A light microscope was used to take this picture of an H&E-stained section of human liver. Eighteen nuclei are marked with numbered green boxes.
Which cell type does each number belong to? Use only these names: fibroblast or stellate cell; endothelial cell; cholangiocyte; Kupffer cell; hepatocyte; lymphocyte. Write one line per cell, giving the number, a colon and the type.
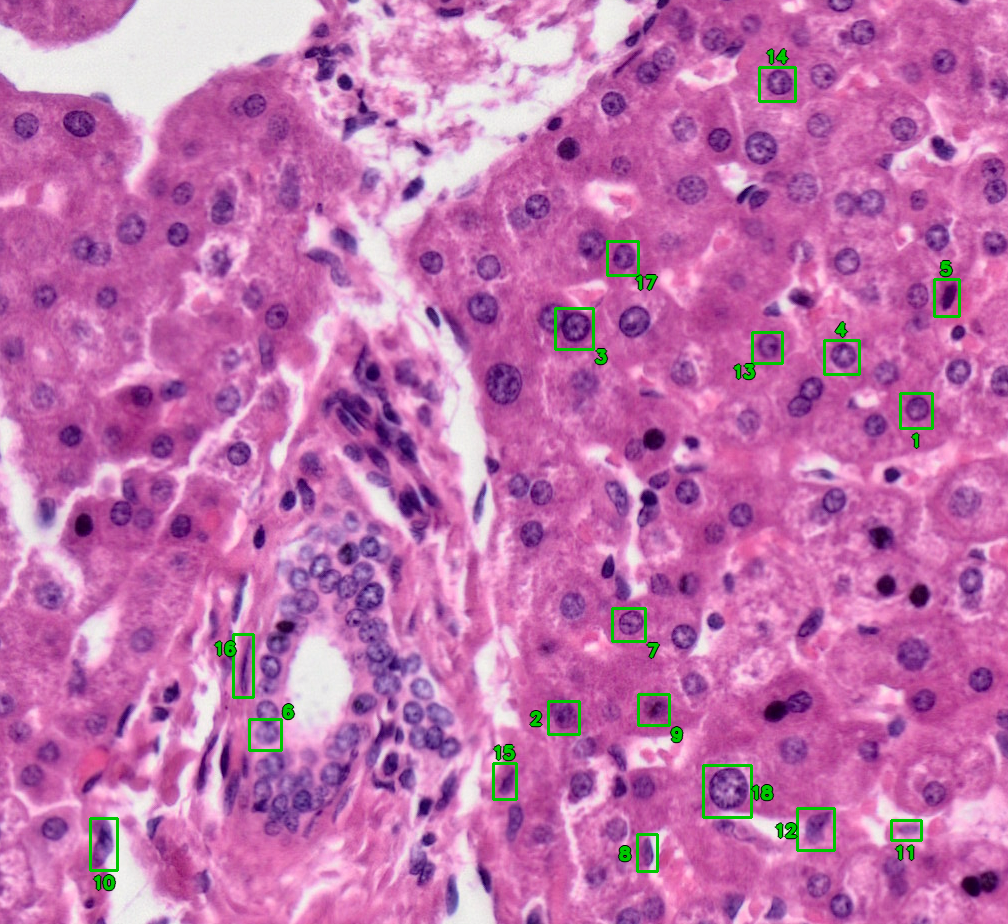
1: hepatocyte
2: hepatocyte
3: hepatocyte
4: hepatocyte
5: fibroblast or stellate cell
6: cholangiocyte
7: hepatocyte
8: endothelial cell
9: hepatocyte
10: fibroblast or stellate cell
11: Kupffer cell
12: endothelial cell
13: hepatocyte
14: hepatocyte
15: fibroblast or stellate cell
16: fibroblast or stellate cell
17: hepatocyte
18: hepatocyte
